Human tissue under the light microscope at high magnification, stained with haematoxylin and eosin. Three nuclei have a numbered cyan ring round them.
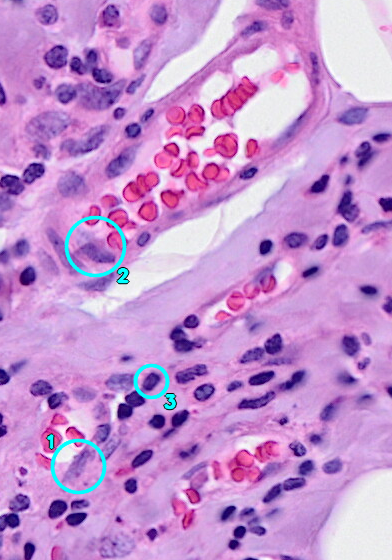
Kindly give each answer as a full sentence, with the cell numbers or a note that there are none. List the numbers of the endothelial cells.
Cells numbered 1 and 2 belong to the group of endothelial cells.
